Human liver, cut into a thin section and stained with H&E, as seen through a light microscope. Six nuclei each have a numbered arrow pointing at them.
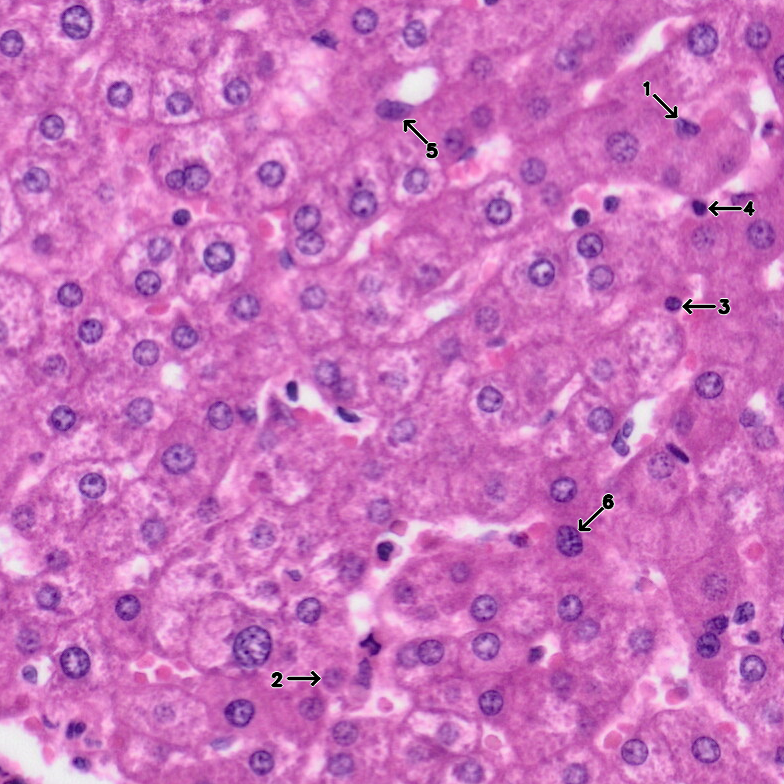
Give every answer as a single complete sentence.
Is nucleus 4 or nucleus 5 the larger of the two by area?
Number 5 is larger; its area is about 3 times that of number 4.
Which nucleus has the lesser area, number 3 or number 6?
With nucleus 6 about 2.5 times its size, nucleus 3 is the smaller of the two.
